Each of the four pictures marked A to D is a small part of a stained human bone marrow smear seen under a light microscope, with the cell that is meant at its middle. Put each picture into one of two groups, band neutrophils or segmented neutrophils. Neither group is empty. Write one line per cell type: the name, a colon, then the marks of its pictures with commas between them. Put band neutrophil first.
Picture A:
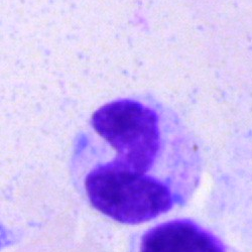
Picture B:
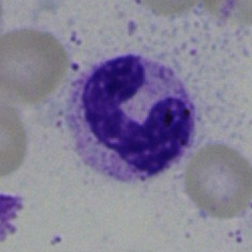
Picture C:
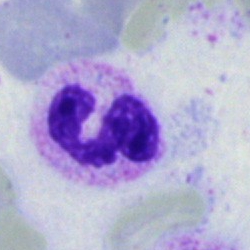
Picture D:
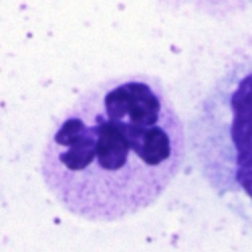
band neutrophil: B
segmented neutrophil: A, C, D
